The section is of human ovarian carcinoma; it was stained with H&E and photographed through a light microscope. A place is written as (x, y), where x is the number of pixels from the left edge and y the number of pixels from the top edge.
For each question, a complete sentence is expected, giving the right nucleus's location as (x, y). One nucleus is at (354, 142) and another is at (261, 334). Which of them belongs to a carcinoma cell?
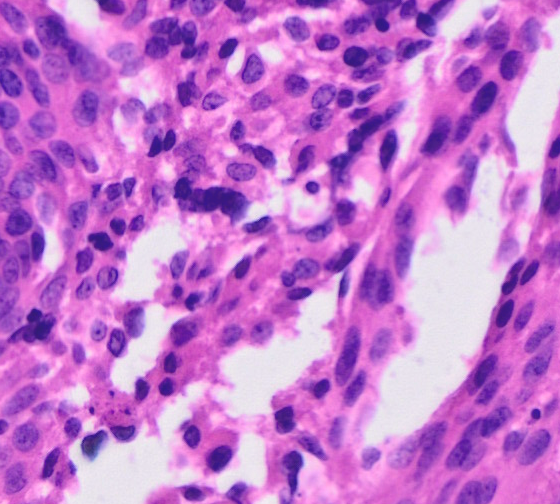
The member of the pair belonging to a carcinoma cell is the nucleus at (354, 142).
